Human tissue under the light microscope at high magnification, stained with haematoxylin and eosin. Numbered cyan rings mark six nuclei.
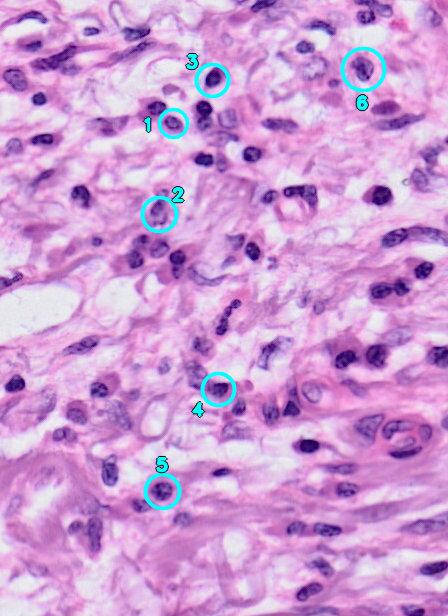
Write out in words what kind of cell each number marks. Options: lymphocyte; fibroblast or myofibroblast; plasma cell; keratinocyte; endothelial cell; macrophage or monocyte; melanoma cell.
Cell 1 is a plasma cell, cell 2 is a fibroblast or myofibroblast, cell 3 is a plasma cell, cell 4 is a plasma cell, cell 5 is a plasma cell and cell 6 is a lymphocyte.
